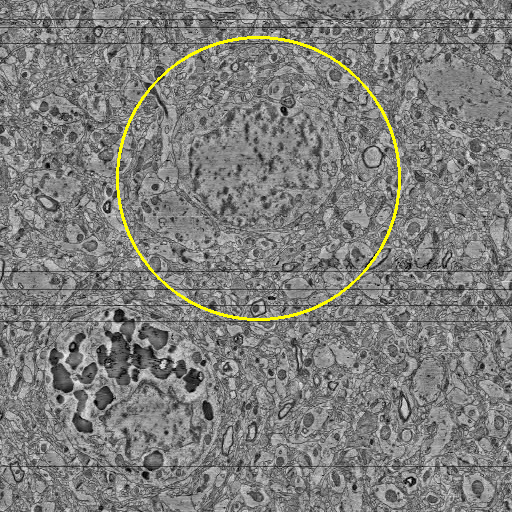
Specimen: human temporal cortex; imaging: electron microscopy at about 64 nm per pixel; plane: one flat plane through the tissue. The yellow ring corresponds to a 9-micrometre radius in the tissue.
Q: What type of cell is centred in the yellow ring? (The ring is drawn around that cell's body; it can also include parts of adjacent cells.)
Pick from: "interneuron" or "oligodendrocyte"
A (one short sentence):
The yellow ring is centred on an interneuron.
